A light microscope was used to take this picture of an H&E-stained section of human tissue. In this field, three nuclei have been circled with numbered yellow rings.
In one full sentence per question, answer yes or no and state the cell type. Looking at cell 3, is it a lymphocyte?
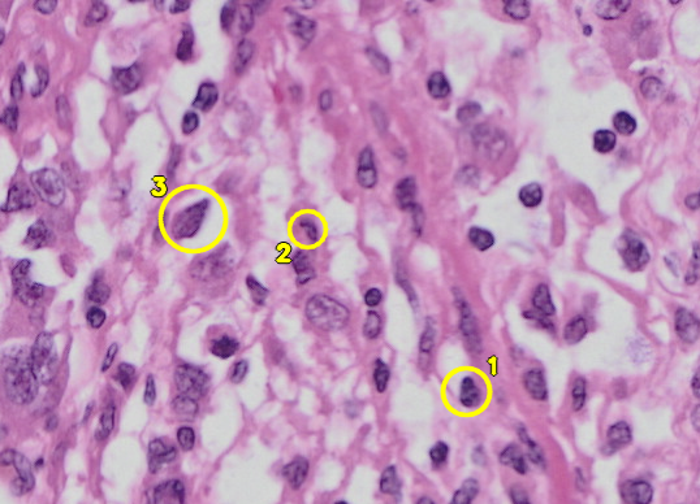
No, cell 3 should be read as a melanoma cell instead of a lymphocyte.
